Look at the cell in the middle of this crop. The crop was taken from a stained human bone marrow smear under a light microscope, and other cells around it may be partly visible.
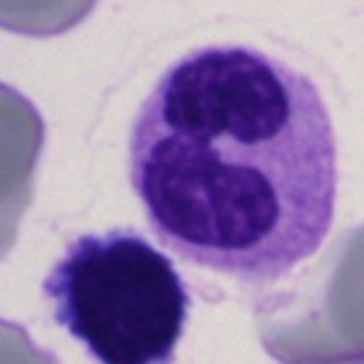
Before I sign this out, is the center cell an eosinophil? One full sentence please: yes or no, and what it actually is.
No, the cell in the centre of the crop is a segmented neutrophil as opposed to an eosinophil.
